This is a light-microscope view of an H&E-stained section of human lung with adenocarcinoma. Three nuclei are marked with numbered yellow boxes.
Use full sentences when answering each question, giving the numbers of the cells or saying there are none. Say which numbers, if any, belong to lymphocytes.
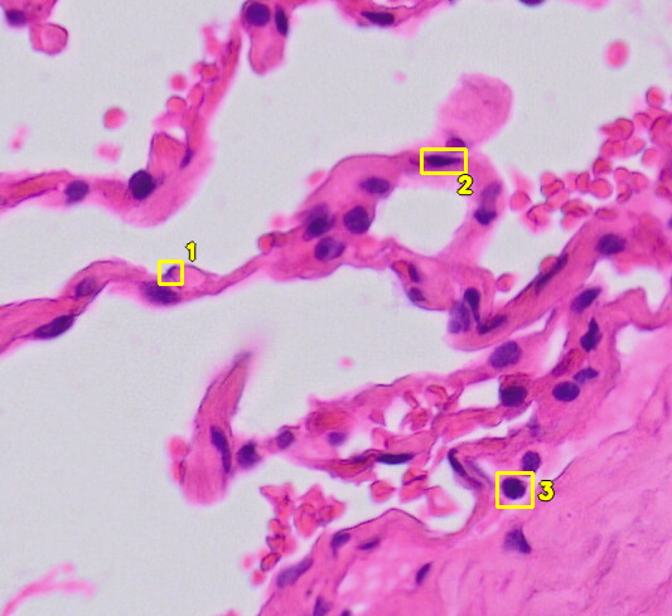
Nothing but cell 3 is a lymphocyte among the numbered ones.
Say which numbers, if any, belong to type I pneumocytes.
Cell 1 represents a type I pneumocyte, and no other numbered cell does.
